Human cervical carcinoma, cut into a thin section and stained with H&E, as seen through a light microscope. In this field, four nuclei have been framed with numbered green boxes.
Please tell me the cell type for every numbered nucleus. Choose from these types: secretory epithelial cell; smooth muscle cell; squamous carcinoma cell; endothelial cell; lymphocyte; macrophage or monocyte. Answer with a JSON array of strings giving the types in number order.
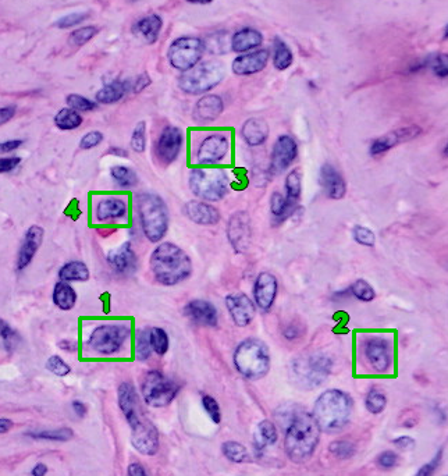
["lymphocyte", "smooth muscle cell", "endothelial cell", "endothelial cell"]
